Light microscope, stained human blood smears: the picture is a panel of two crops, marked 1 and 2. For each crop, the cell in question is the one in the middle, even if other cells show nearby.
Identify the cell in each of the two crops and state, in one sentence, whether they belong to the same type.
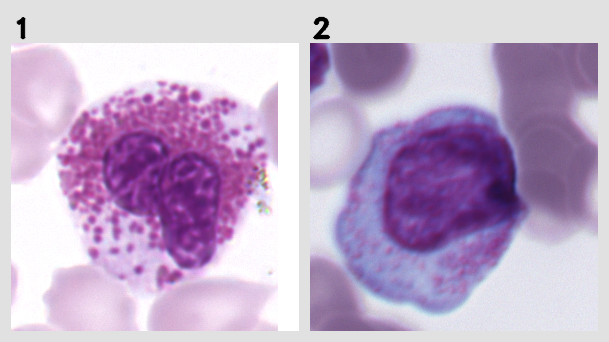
No, crop 2 centres on a myelocyte, and crop 1 centres on an eosinophil.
